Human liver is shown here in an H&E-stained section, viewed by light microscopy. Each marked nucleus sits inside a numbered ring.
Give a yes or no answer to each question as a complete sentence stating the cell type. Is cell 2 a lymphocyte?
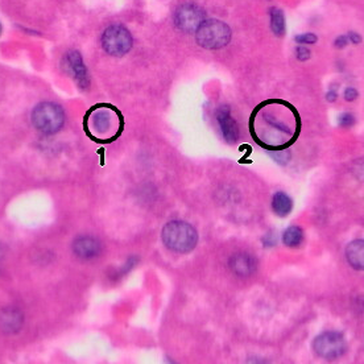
No, number 2 identifies a fibroblast or stellate cell, not a lymphocyte.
